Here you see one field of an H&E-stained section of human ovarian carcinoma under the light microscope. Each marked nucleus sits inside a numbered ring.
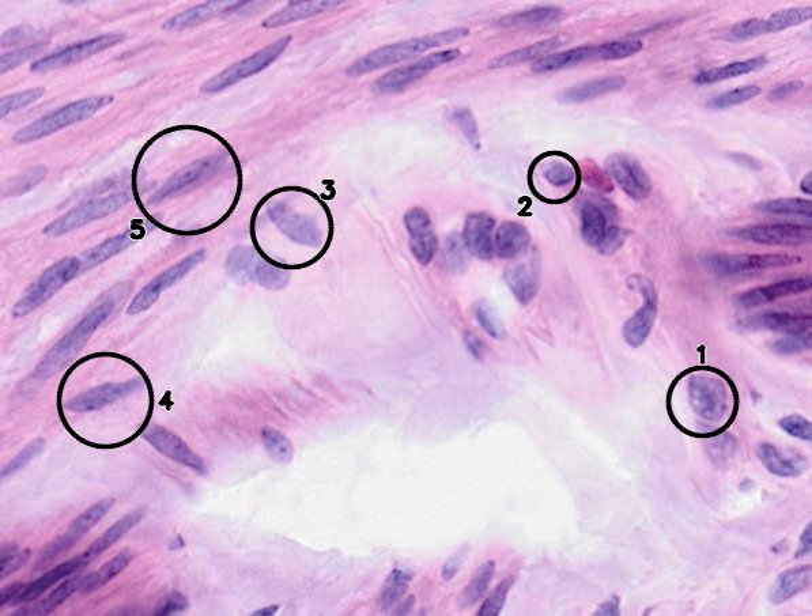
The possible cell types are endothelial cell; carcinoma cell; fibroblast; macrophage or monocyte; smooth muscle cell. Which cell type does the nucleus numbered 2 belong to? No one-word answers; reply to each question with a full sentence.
Classified as an endothelial cell is the cell with the number 2.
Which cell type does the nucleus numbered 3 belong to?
It is as a fibroblast that the cell numbered 3 is identified.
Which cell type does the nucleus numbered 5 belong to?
Regarding cell 5, this one is a smooth muscle cell.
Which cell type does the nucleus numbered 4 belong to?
The cell pointed out by number 4 is a smooth muscle cell.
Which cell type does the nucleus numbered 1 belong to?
The marked nucleus 1 is that of an endothelial cell.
